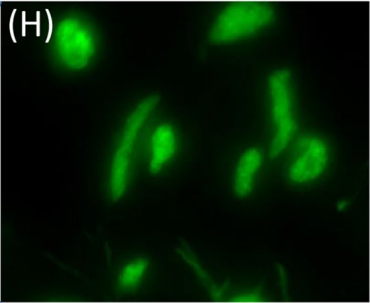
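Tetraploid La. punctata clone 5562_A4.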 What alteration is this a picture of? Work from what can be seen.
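Several green bodies are elongated or irregular rather than round. Some green bodies are thin and curved.
Hence: unusual nuclei shape.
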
